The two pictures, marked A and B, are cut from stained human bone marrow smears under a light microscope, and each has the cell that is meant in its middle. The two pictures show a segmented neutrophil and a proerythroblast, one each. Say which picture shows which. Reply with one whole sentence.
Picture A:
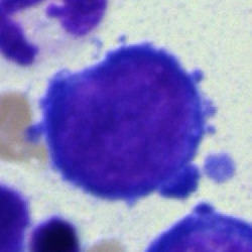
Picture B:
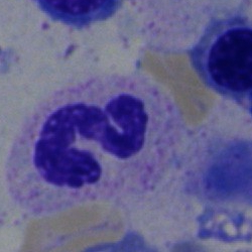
Picture B shows a segmented neutrophil, while picture A shows a proerythroblast.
